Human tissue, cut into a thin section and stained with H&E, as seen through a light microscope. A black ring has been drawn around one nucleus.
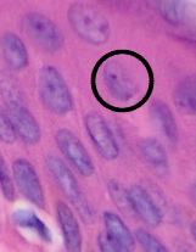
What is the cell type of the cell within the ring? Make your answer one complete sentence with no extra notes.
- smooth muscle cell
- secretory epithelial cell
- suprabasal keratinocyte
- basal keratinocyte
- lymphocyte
In the context of this tissue, the cell within the ring is a suprabasal keratinocyte.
